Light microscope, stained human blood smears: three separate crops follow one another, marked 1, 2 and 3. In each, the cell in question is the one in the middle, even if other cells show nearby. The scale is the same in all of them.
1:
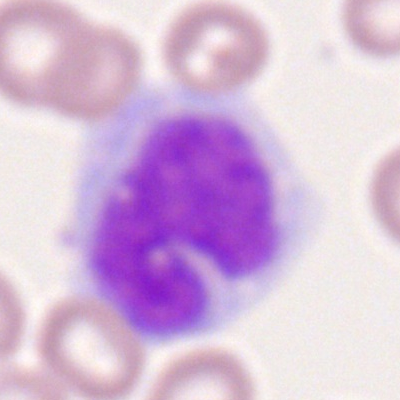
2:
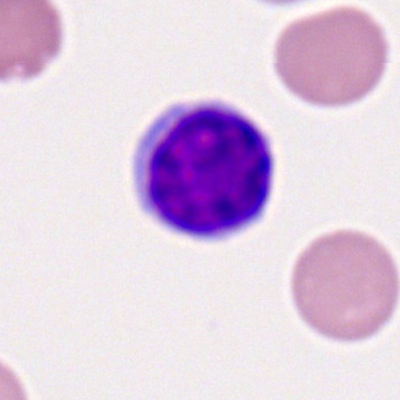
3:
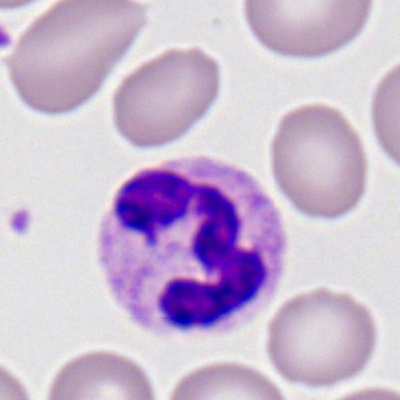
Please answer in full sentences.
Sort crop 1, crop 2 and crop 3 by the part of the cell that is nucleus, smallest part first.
From the least filled to the most, the order is 3, 1, 2.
